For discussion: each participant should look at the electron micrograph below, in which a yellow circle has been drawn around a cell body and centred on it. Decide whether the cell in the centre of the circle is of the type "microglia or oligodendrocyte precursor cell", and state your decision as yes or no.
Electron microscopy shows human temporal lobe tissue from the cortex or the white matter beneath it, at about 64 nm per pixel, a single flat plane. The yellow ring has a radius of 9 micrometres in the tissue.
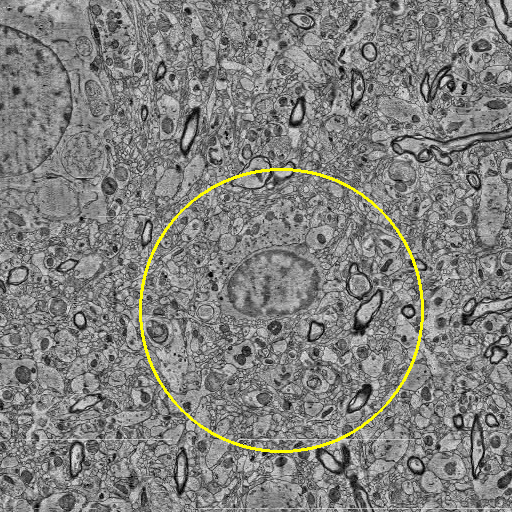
no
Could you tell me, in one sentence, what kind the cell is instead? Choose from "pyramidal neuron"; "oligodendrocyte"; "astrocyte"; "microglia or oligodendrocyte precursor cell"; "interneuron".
The cell that the ring is centred on is an oligodendrocyte.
